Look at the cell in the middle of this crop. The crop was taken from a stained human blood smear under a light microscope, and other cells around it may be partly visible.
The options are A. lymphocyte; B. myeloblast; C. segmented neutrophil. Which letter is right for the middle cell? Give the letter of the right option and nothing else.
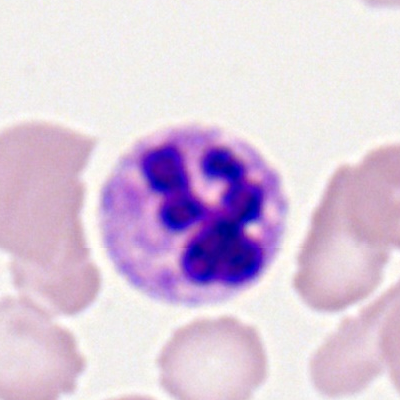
C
